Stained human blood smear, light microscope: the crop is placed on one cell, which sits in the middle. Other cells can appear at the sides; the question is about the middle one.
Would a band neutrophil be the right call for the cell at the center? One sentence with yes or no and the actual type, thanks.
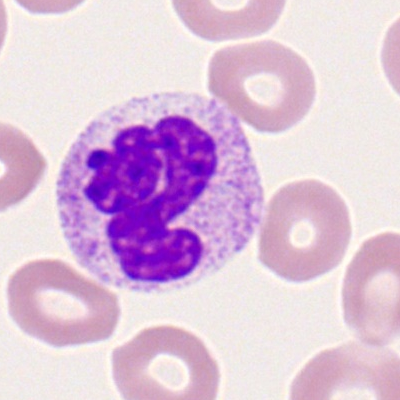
No, rather than a band neutrophil, the central cell is a segmented neutrophil.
